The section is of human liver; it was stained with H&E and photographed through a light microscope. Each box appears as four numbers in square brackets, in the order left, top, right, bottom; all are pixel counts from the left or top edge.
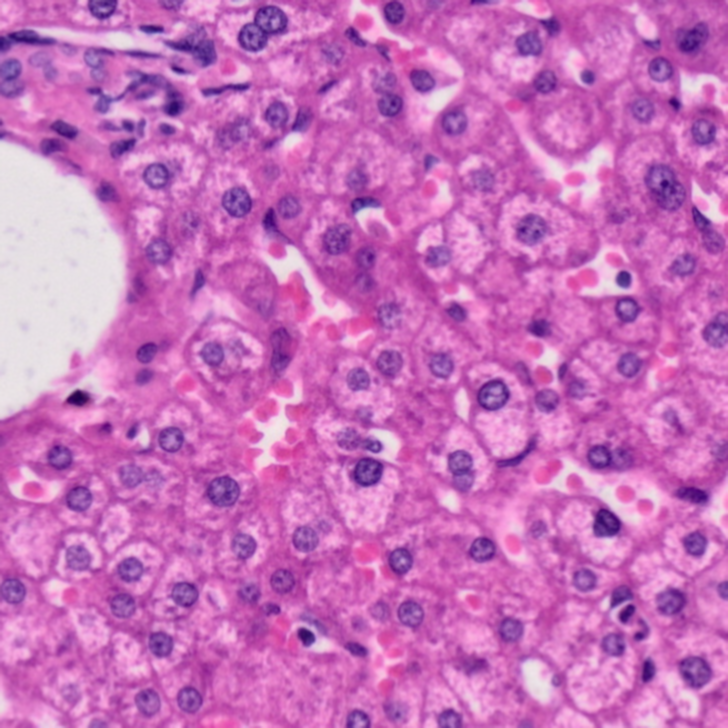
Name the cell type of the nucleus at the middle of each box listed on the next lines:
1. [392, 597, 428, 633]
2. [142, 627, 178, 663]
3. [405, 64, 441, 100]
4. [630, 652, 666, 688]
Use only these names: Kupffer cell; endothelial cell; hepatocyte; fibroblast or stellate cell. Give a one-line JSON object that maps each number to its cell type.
{"1": "hepatocyte", "2": "hepatocyte", "3": "Kupffer cell", "4": "fibroblast or stellate cell"}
